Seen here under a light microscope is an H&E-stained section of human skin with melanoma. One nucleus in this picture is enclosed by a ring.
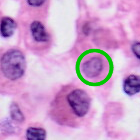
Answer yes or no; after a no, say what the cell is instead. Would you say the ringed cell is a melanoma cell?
No, it is a macrophage or monocyte.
